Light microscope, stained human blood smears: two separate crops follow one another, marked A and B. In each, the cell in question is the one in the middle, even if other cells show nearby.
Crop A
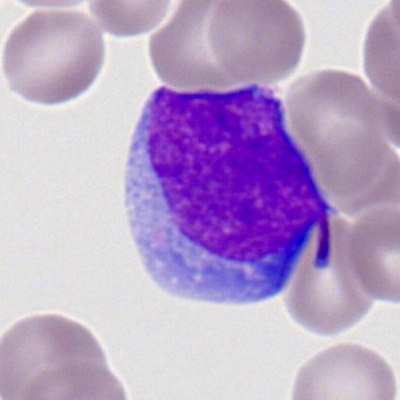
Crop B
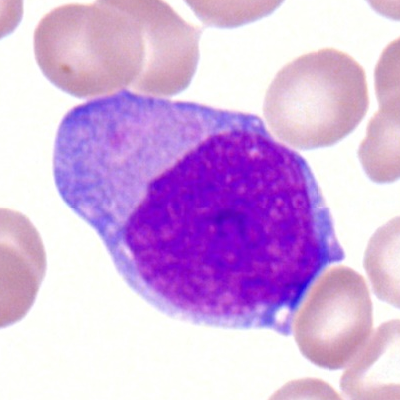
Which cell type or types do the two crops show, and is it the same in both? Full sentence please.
Yes, what both crops show is myeloblasts.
